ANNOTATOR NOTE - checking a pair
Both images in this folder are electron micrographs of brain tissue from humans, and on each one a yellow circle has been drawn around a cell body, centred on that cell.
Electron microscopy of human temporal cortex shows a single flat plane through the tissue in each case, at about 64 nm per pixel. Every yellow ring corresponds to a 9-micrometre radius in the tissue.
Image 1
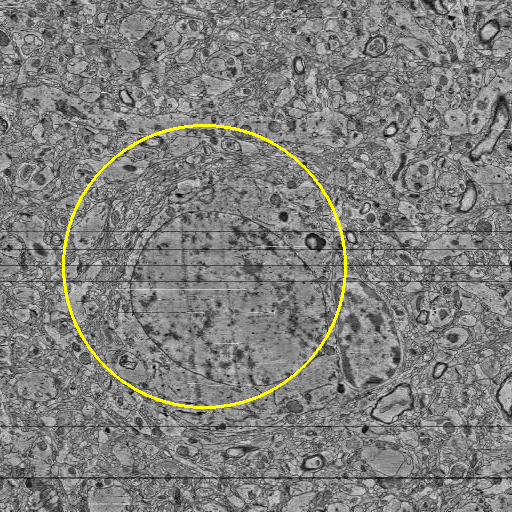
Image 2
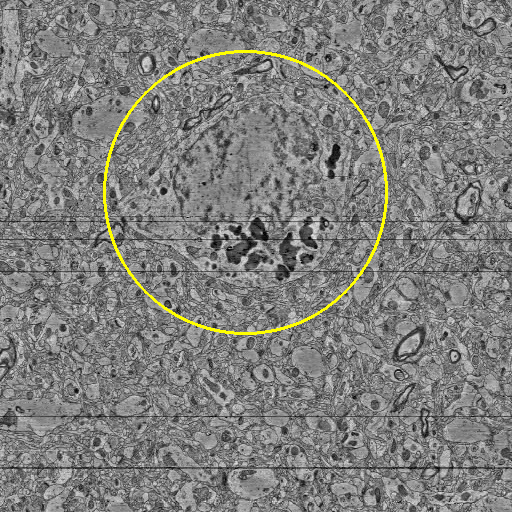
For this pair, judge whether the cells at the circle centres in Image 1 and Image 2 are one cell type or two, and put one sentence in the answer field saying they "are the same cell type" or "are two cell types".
For this pair, the cells at the circle centres in Images 1 and 2 are two cell types.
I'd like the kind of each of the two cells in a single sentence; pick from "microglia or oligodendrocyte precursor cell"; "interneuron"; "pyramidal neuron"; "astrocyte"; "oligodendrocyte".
The first ring marks a pyramidal neuron, and the second ring marks an interneuron.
